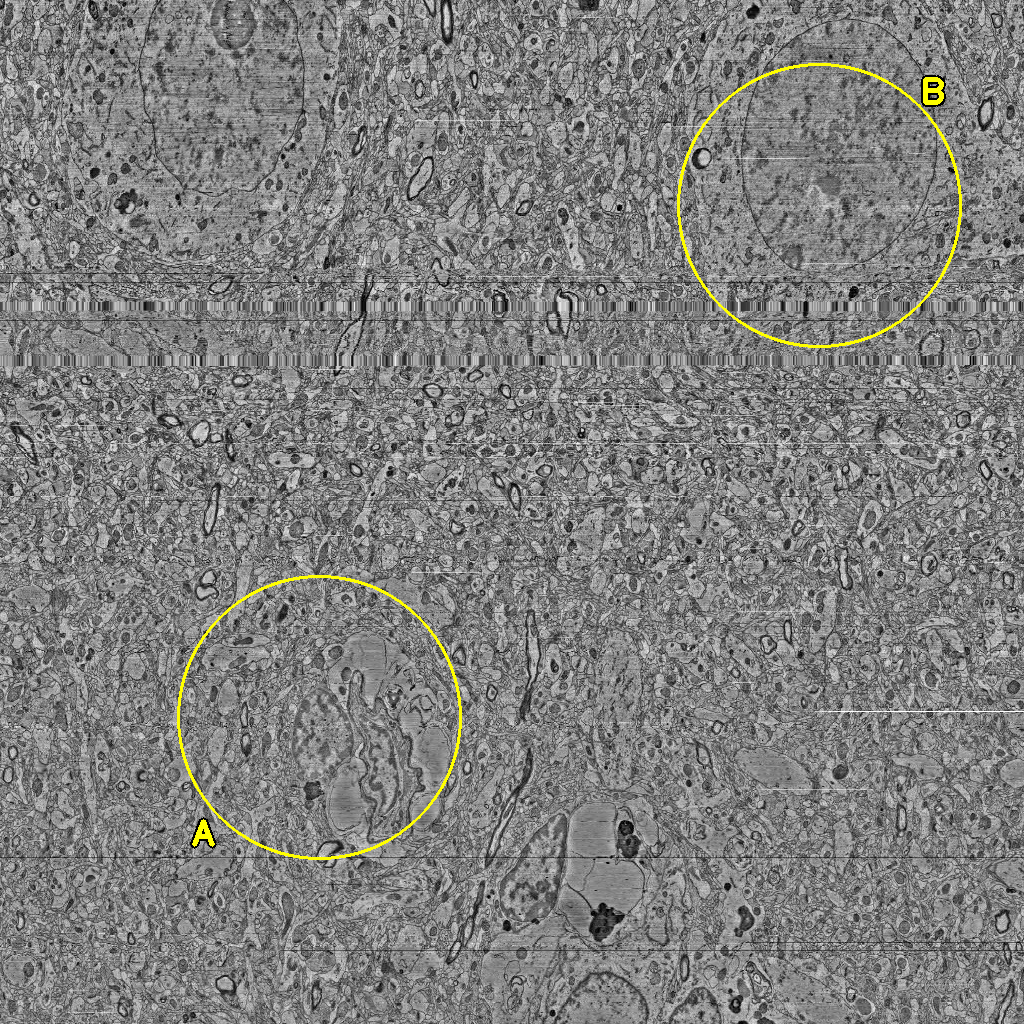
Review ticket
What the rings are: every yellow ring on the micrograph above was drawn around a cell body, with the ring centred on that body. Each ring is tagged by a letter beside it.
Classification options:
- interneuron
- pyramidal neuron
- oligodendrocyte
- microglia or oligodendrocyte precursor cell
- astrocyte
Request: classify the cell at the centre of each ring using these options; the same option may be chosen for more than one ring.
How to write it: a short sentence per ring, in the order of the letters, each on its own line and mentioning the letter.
The cell centred in ring A is an oligodendrocyte.
The cell centred in ring B is a pyramidal neuron.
